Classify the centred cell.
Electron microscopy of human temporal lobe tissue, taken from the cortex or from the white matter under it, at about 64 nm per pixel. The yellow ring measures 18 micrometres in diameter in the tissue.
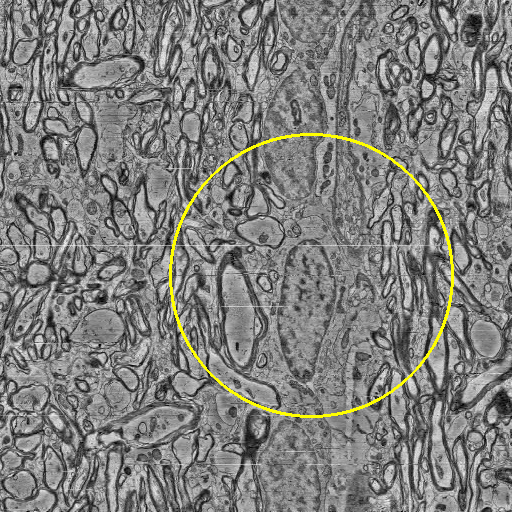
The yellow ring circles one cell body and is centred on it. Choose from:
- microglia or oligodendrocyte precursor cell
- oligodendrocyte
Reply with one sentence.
The ring is centred on a microglial cell or oligodendrocyte precursor cell.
